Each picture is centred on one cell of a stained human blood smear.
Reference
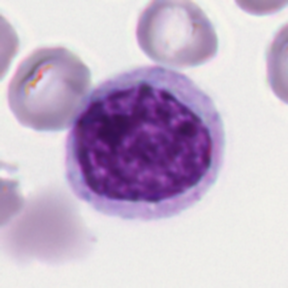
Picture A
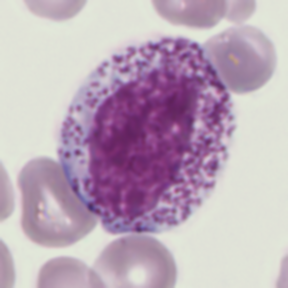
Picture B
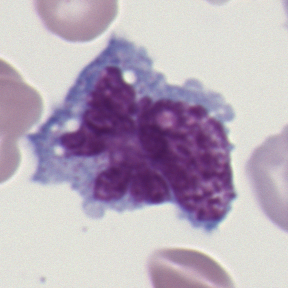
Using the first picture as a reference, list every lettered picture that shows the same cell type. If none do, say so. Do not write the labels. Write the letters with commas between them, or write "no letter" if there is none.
A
